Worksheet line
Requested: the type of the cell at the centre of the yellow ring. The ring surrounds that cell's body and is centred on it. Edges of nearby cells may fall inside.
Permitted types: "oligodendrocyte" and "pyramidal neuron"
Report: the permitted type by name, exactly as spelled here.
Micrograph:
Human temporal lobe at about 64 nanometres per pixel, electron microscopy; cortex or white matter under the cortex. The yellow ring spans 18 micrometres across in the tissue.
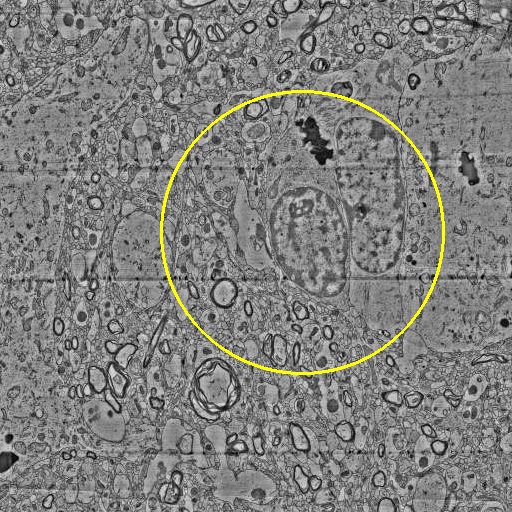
oligodendrocyte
